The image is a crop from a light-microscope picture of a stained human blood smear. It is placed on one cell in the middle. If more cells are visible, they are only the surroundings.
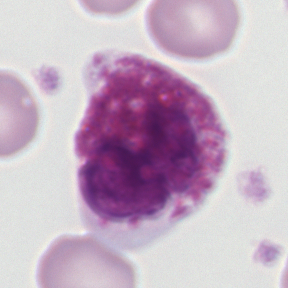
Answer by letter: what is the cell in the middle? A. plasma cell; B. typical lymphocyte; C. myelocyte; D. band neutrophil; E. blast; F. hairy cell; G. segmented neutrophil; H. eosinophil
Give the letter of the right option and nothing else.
H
